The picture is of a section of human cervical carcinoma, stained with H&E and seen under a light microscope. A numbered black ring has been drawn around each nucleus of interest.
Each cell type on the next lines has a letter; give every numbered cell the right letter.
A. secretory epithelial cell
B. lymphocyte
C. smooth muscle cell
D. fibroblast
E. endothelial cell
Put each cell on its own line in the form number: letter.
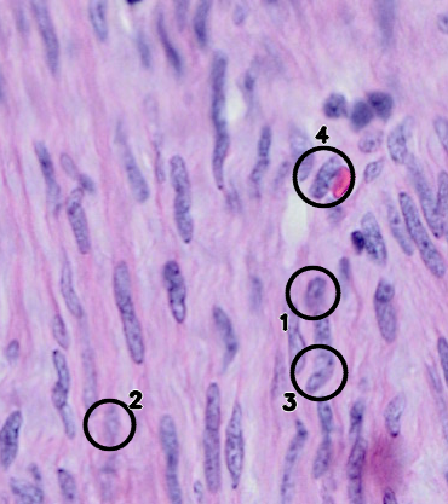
1: C
2: C
3: C
4: E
